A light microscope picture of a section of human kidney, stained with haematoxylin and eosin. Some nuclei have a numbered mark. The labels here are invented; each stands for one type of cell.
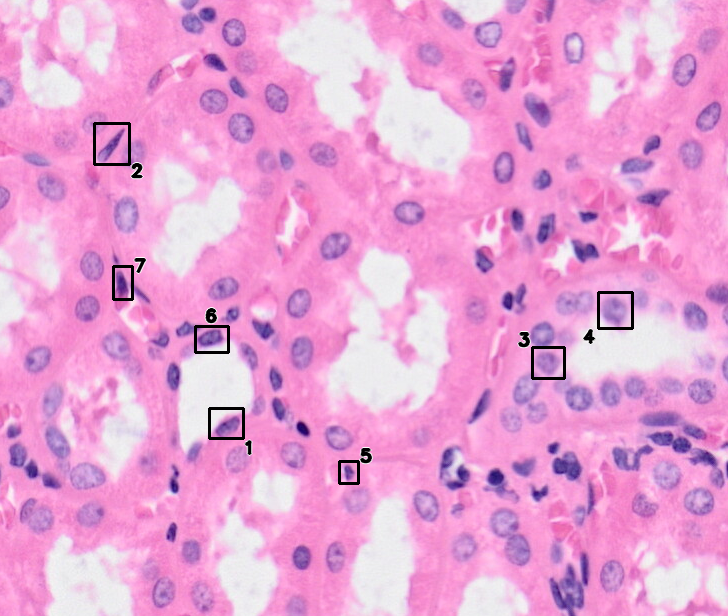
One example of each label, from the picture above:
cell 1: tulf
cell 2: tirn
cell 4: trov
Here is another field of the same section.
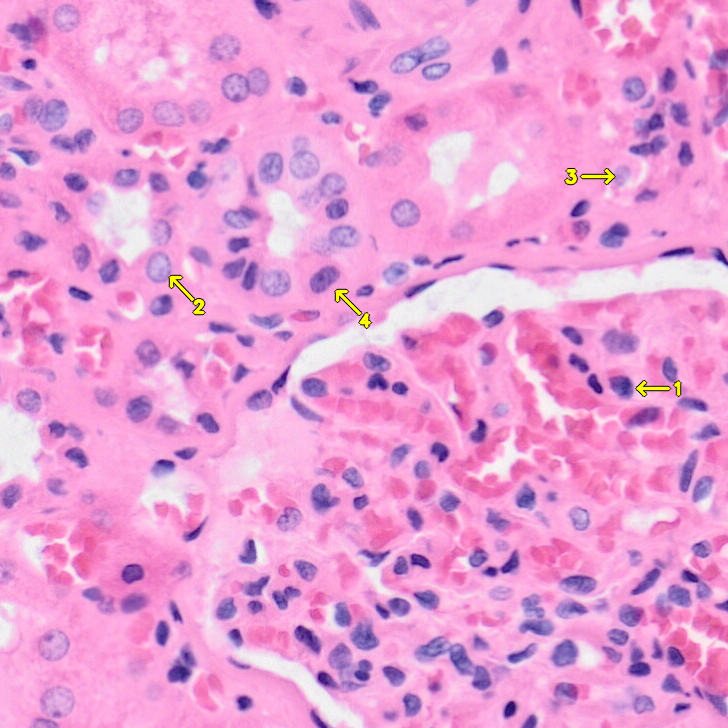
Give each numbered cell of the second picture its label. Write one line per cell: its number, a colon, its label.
1: tirn
2: tulf
3: tulf
4: trov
